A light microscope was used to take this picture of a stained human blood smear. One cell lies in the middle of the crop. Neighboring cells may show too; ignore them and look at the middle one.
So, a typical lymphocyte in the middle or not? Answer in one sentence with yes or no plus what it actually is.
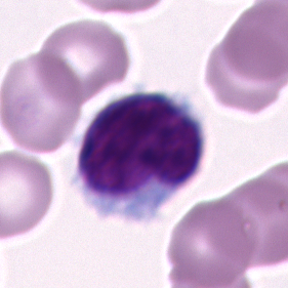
No, the cell placed at the center is a hairy cell rather than a typical lymphocyte.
